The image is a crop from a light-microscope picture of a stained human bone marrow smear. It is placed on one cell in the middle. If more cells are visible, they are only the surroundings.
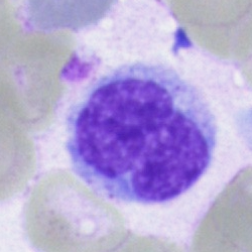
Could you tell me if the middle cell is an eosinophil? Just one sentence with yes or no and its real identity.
No, the cell at the centre of the crop is a metamyelocyte and not an eosinophil.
